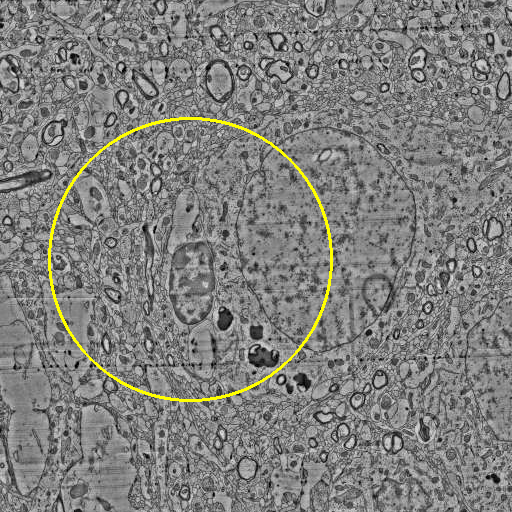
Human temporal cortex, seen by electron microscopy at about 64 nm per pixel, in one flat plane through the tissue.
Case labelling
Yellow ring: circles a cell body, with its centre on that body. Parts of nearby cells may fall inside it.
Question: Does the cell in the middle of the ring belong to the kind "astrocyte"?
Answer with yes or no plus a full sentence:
No, in this picture the cell in the middle of the yellow ring belongs to a different kind.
